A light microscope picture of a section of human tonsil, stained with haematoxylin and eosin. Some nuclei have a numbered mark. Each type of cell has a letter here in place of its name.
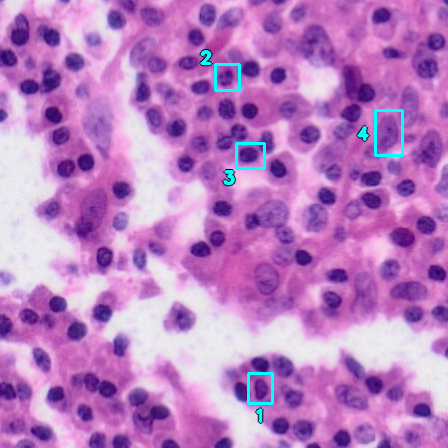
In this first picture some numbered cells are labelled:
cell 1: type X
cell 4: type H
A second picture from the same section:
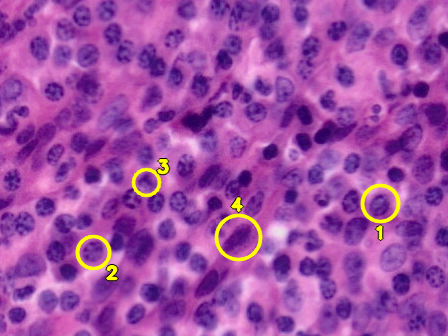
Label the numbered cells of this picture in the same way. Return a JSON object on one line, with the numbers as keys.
{"1": "type X", "2": "type X", "3": "type X", "4": "type H"}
